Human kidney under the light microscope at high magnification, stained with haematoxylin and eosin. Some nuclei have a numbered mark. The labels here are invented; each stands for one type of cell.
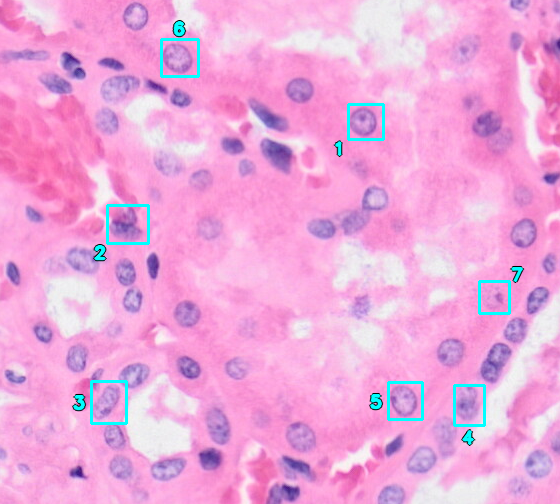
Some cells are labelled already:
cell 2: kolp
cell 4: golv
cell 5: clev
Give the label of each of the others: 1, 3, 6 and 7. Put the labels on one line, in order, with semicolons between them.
clev; golv; clev; clev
